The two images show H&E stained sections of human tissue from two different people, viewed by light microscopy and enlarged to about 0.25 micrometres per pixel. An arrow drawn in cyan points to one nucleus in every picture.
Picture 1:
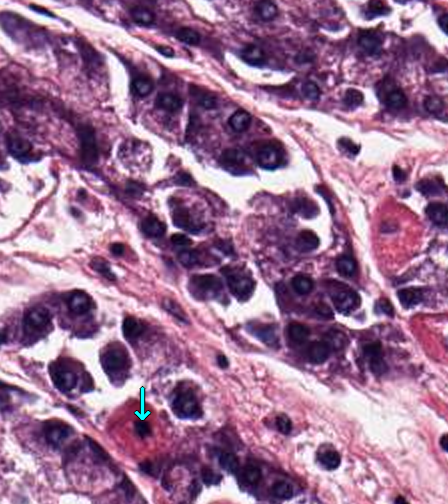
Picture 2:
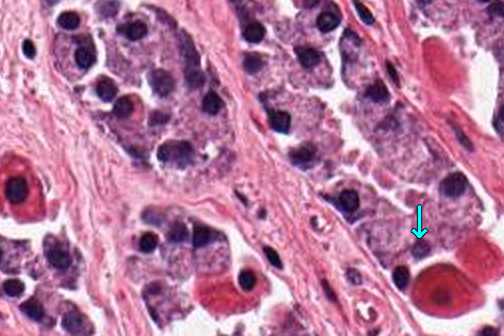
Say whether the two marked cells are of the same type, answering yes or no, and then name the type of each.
No, the first is a parietal cell and the second a chief cell.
